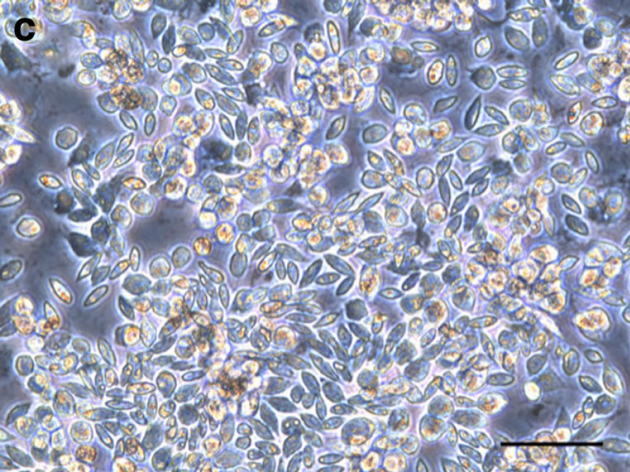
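A dense field of cultured spindle-shaped cells crowds the dish, packed side by side with little free space between them. Interspersed among them are rounder cells filled with orange-brown granules, some gathered into small clumps. Darker patches of substrate show through in a few gaps between the cells.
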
